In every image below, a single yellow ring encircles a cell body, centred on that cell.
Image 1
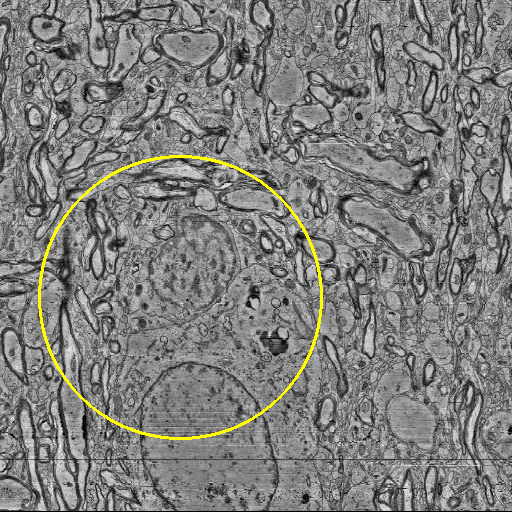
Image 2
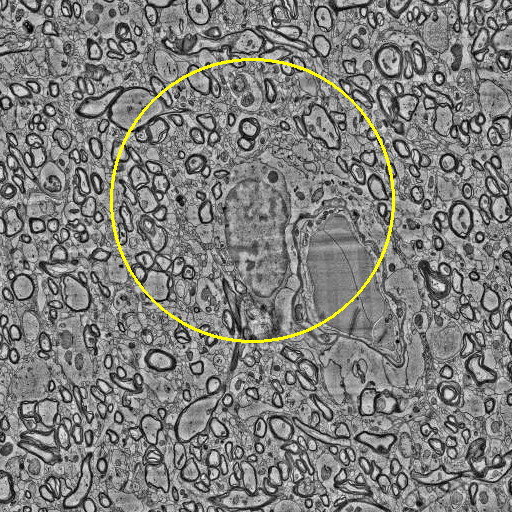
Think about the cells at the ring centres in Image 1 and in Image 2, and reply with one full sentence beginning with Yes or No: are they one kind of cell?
Yes, the cells centred in the rings of Image 1 and Image 2 are one kind of cell.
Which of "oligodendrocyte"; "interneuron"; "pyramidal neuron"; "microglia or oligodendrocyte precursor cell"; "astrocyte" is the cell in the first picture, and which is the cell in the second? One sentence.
Each of the two rings is centred on an oligodendrocyte.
